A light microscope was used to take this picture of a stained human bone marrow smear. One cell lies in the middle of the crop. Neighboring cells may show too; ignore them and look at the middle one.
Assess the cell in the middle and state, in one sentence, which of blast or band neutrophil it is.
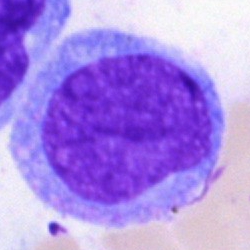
The cell at the centre of the field is a blast.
